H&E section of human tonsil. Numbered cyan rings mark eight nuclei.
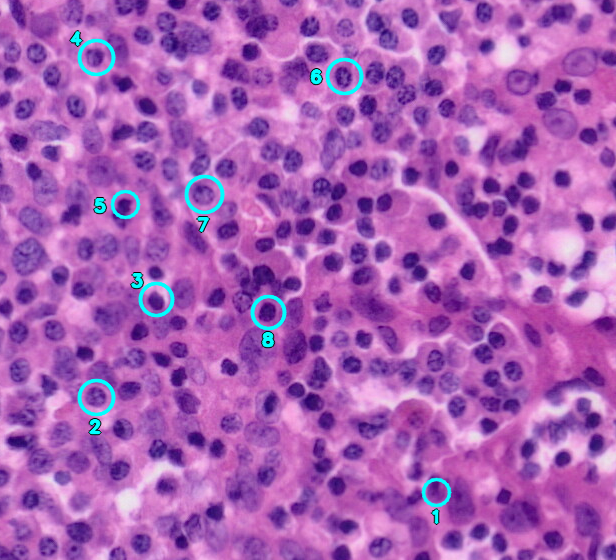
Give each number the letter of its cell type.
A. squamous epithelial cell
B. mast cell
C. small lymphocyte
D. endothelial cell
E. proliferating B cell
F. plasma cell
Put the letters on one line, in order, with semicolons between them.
A; F; A; F; A; F; F; F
